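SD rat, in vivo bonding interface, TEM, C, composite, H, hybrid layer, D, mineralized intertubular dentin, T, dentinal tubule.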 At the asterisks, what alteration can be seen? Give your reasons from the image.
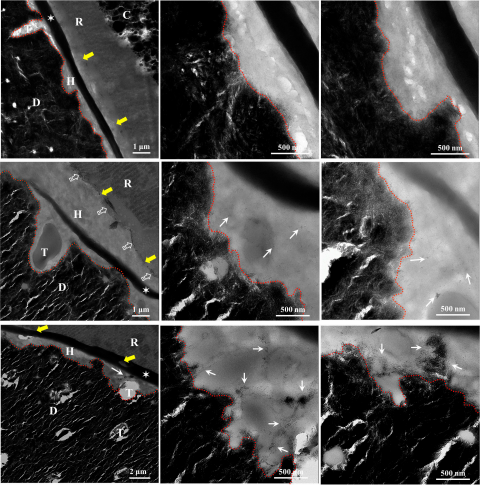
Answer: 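Each asterisk lies beside a narrow, very dark band running along the interface. The band is featureless and darker than the layers on either side.
Fold accumulation.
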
